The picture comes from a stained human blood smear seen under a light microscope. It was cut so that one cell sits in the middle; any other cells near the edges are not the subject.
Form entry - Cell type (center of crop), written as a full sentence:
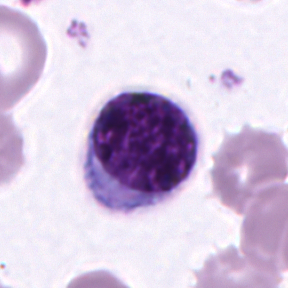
Whatever else lies nearby, the middle cell is a plasma cell.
